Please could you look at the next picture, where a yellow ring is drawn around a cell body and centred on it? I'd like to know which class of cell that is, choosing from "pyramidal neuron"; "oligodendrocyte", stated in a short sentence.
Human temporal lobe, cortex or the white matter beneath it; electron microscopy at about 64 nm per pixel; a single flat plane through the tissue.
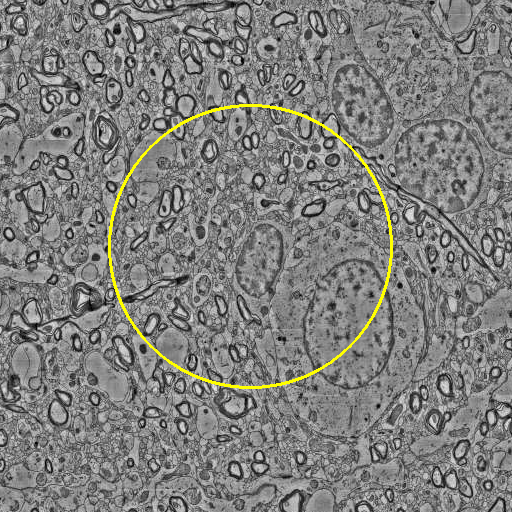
The ring's centre lies on an oligodendrocyte.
